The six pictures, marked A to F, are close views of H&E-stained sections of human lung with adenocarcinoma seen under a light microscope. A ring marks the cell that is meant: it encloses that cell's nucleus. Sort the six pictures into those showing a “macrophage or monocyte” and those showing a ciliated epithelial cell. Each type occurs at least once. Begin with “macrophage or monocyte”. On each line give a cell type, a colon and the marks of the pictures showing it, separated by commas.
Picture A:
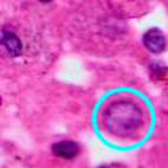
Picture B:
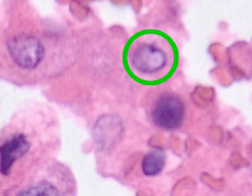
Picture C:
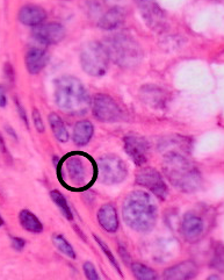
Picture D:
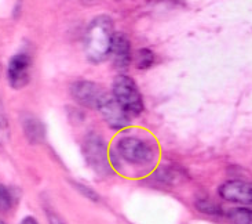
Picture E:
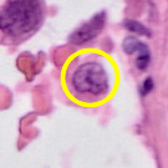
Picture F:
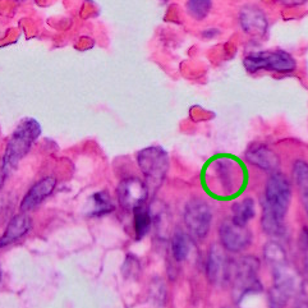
macrophage or monocyte: A, B, E
ciliated epithelial cell: C, D, F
